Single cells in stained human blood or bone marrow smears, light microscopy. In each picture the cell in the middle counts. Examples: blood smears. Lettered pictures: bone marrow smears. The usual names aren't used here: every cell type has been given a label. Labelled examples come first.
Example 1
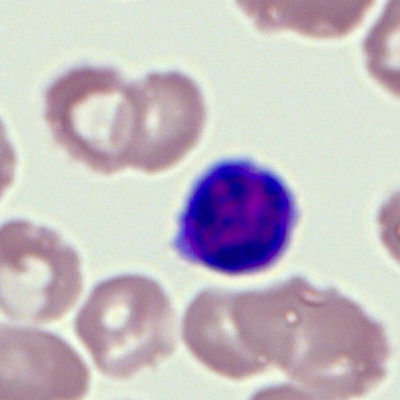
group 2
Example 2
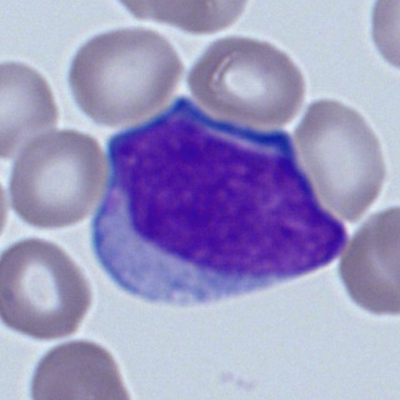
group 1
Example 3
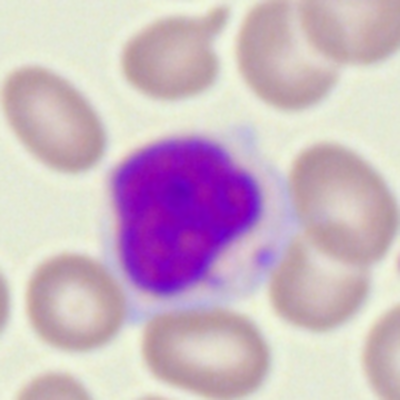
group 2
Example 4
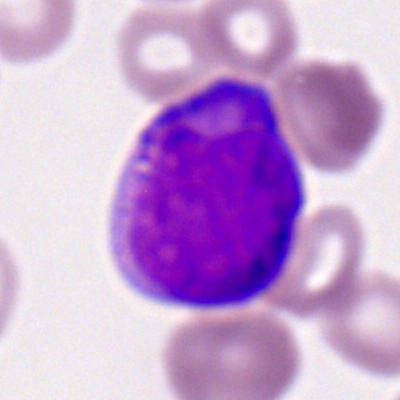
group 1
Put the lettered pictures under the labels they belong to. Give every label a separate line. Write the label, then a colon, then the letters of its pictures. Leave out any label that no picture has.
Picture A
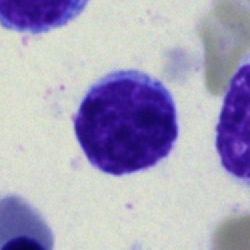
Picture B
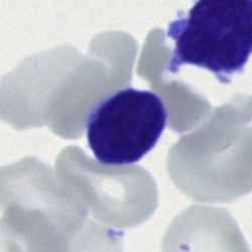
group 2: A, B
